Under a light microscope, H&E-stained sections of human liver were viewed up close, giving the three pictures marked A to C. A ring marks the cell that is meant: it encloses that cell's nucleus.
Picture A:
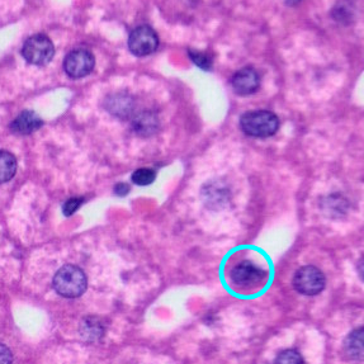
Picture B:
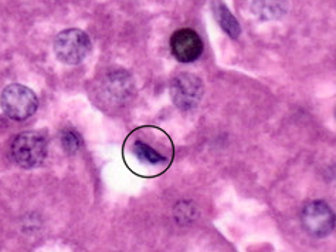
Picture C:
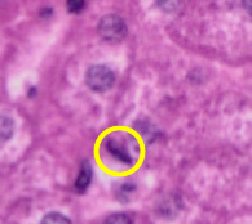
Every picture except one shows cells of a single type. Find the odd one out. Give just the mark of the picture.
C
